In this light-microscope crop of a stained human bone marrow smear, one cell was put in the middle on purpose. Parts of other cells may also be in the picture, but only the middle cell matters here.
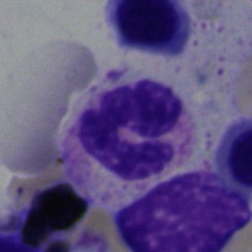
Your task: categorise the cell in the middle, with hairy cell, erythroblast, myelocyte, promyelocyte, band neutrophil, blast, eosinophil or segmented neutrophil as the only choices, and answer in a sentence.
The cell in the middle of the field of view is a segmented neutrophil.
